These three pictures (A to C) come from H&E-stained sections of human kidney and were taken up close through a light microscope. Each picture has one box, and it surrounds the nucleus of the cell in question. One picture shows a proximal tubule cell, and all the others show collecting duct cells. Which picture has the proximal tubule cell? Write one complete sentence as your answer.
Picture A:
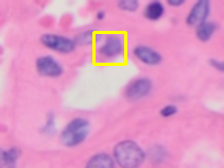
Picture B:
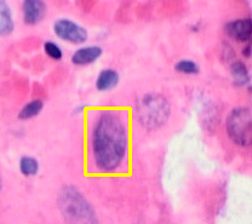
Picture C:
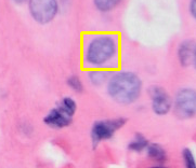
The cell in picture B is the proximal tubule cell.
